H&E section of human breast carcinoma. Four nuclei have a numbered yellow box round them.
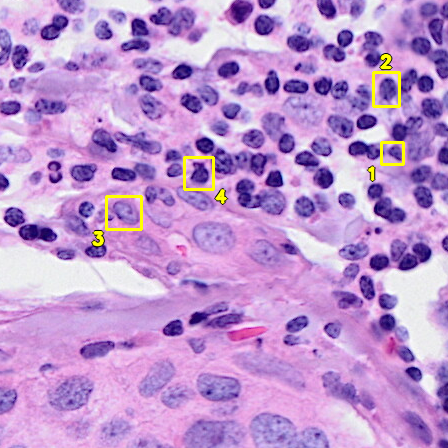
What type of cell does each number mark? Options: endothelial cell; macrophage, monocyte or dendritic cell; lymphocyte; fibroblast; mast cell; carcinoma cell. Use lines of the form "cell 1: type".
cell 1: lymphocyte
cell 2: lymphocyte
cell 3: endothelial cell
cell 4: lymphocyte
